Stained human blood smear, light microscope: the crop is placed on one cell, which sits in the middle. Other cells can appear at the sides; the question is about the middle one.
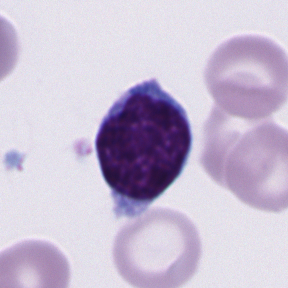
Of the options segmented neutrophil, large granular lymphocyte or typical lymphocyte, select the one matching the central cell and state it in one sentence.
As for the central cell, it is a typical lymphocyte.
